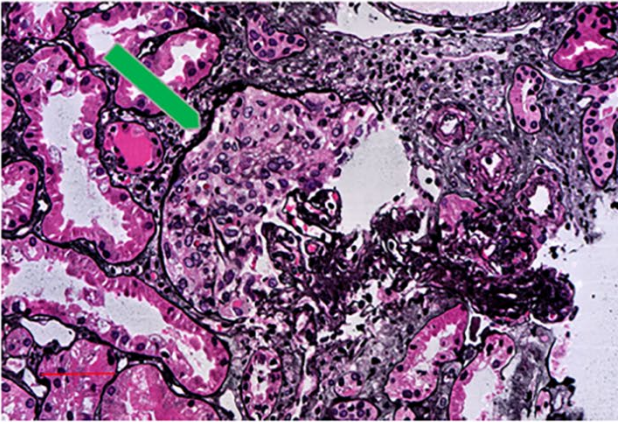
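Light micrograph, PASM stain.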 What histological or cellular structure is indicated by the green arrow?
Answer: Cellular crescent.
